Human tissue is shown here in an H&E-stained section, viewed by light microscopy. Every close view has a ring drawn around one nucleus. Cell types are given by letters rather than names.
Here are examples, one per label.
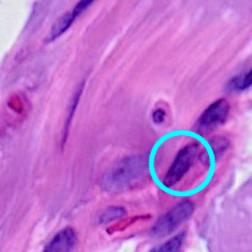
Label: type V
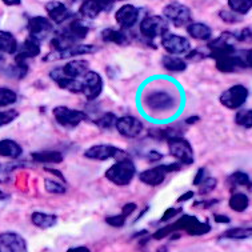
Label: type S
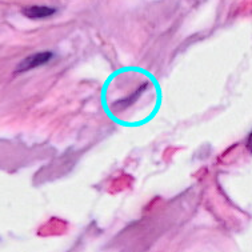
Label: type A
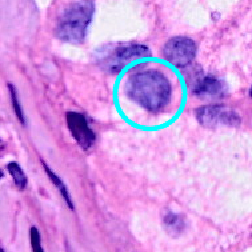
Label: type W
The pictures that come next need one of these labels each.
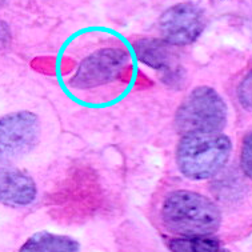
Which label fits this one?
type V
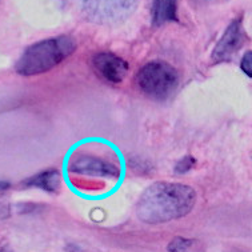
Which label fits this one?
type V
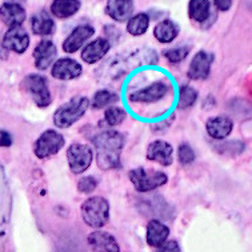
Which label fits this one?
type S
